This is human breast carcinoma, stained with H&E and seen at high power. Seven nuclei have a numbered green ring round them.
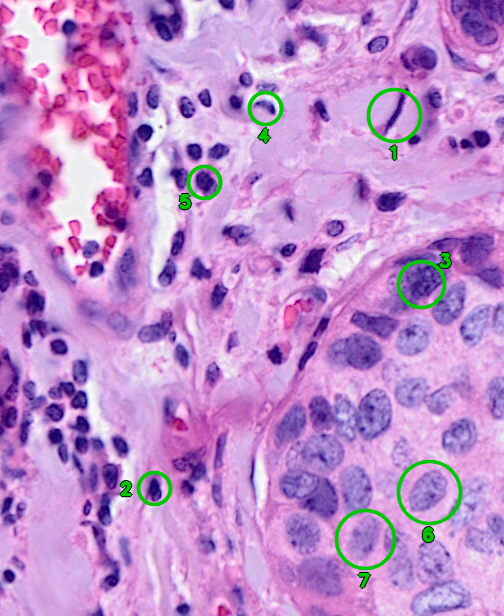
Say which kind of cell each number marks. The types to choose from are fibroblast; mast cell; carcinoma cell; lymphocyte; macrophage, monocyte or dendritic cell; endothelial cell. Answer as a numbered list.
1. fibroblast
2. lymphocyte
3. carcinoma cell
4. lymphocyte
5. lymphocyte
6. carcinoma cell
7. carcinoma cell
